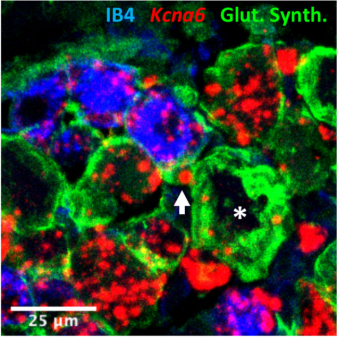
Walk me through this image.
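This is a close view of a sensory ganglion where large rounded neuron cell bodies are each wrapped by a thin green sheath of satellite glia. Some neuron bodies are filled with blue label, others lack it and appear dark inside their green ring.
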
